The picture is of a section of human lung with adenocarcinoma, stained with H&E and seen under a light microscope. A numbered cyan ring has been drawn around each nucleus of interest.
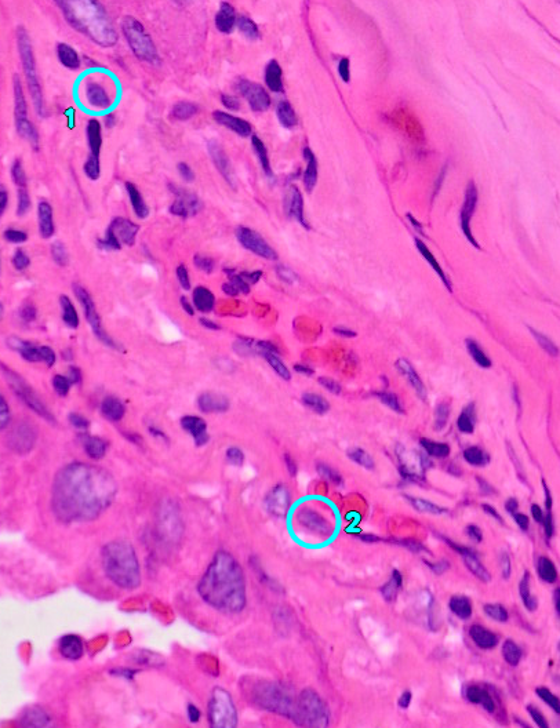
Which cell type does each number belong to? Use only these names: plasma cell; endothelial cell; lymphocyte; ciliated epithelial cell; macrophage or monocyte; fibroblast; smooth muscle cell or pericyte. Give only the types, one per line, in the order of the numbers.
lymphocyte
endothelial cell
